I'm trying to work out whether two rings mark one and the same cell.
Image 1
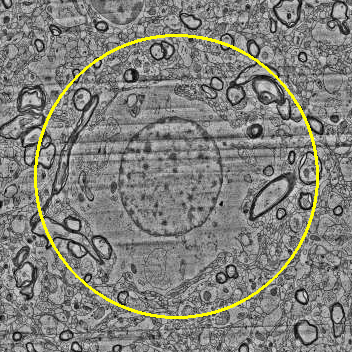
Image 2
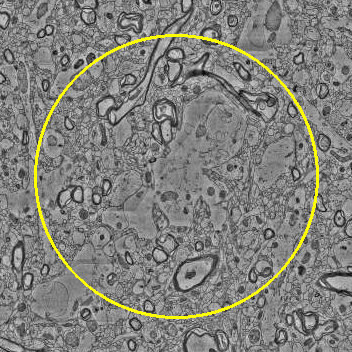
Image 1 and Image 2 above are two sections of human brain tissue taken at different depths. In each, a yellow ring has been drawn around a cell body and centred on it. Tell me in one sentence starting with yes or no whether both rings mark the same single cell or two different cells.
No, the rings do not mark the same cell.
